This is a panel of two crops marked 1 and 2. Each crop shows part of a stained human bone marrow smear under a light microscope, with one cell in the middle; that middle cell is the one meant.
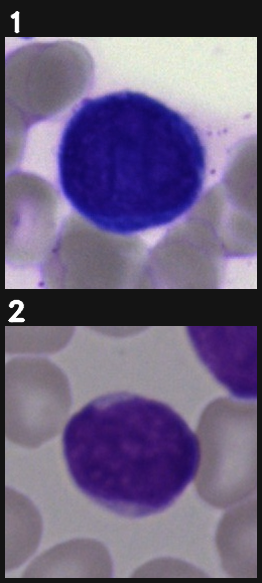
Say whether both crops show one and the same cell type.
yes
